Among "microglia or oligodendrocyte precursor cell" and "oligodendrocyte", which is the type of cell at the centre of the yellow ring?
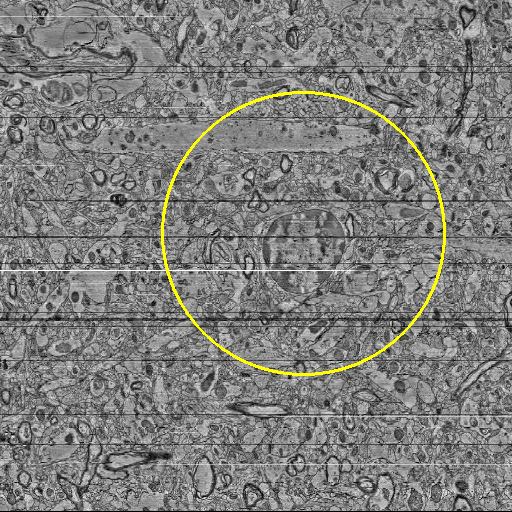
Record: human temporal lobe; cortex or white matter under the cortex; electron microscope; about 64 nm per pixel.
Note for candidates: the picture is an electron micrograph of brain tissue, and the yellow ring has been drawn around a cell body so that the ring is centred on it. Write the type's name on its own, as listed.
microglia or oligodendrocyte precursor cell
